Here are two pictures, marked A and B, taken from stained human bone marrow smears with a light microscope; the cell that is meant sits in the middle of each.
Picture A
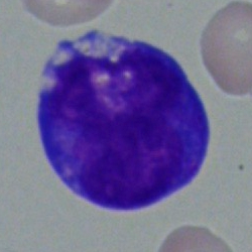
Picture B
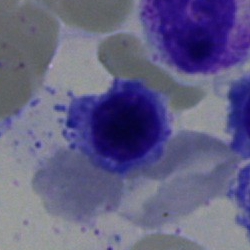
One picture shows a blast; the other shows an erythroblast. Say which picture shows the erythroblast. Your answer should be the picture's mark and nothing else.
B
